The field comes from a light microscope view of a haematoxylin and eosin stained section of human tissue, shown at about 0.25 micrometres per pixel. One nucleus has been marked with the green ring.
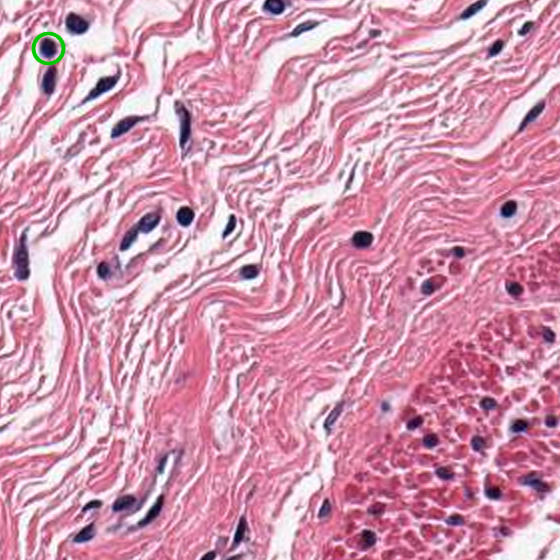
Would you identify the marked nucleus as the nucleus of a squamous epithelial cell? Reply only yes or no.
no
